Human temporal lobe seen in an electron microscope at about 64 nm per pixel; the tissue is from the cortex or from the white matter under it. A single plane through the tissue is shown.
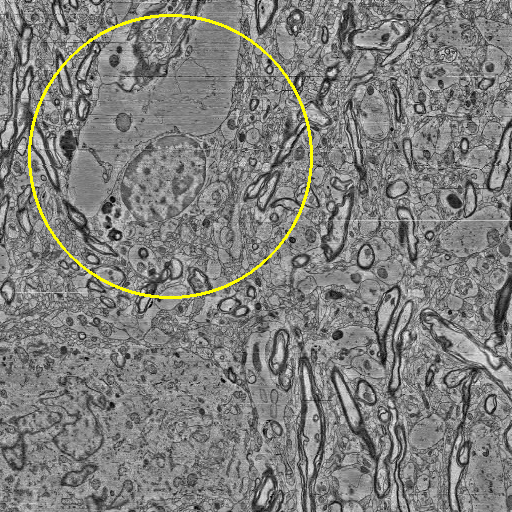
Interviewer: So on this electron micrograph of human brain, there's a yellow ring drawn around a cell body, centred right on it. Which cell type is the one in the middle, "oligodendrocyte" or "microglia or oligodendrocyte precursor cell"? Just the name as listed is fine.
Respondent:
microglia or oligodendrocyte precursor cell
